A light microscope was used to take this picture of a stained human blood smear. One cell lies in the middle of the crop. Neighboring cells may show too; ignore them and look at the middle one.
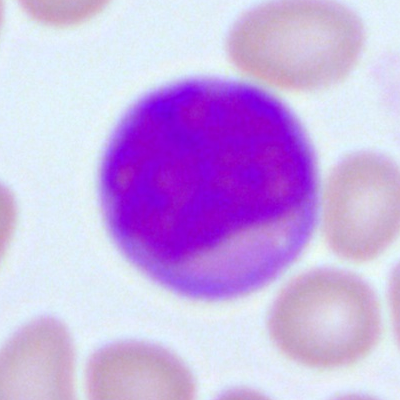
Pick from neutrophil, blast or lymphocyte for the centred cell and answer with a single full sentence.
The center cell of this crop is a blast.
